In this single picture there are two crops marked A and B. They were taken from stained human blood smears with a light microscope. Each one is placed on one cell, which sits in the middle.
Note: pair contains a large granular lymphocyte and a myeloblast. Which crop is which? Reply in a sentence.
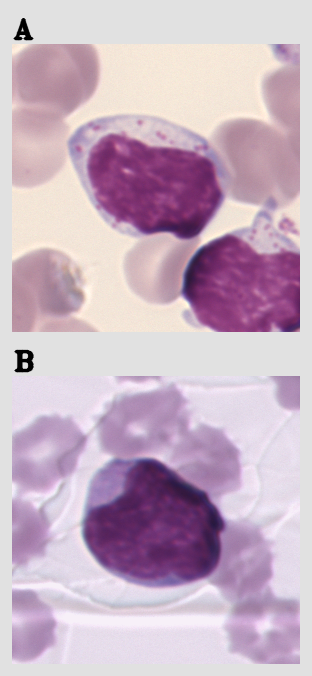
Crop B is a myeloblast, while crop A is a large granular lymphocyte.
